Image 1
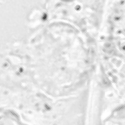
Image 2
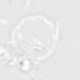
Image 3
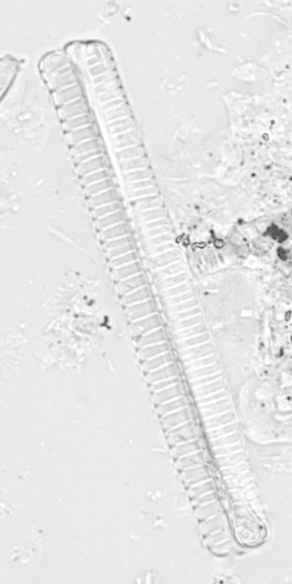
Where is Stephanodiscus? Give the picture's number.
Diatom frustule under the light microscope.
1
